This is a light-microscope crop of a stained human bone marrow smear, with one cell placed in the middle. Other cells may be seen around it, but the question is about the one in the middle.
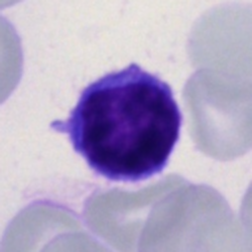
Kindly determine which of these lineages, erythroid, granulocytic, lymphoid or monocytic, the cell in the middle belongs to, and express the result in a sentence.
The cell found in the middle of this crop is lymphoid in lineage.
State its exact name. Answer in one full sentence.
Present in the middle of the crop is a lymphocyte.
